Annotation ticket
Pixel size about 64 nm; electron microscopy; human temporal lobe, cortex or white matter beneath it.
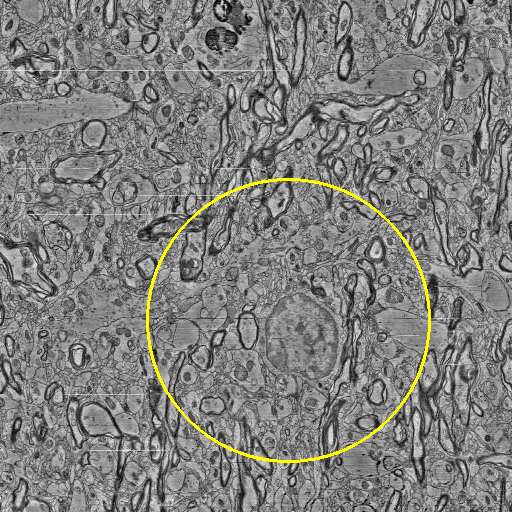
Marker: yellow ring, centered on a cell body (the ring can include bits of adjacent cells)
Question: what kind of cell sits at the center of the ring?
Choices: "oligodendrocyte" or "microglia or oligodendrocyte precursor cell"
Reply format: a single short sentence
The ring is centered on an oligodendrocyte.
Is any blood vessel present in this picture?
No, none appears.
